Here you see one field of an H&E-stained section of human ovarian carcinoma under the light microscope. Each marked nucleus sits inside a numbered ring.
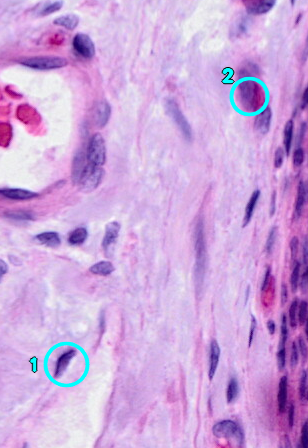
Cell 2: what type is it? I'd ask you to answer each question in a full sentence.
The cell to which the number 2 is assigned is an endothelial cell.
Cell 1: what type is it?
That cell with number 1 is a fibroblast.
